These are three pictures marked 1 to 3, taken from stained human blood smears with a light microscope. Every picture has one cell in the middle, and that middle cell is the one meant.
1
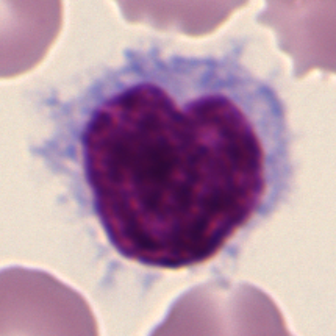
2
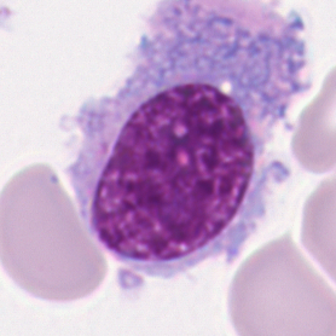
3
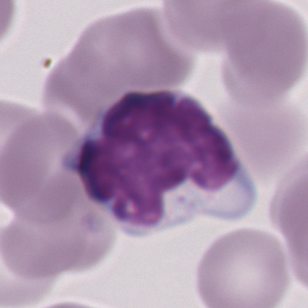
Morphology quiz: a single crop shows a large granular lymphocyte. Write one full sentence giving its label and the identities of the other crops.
In the case of crop 3, the cell is a large granular lymphocyte, while crop 1 is a hairy cell and crop 2 is a plasma cell.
